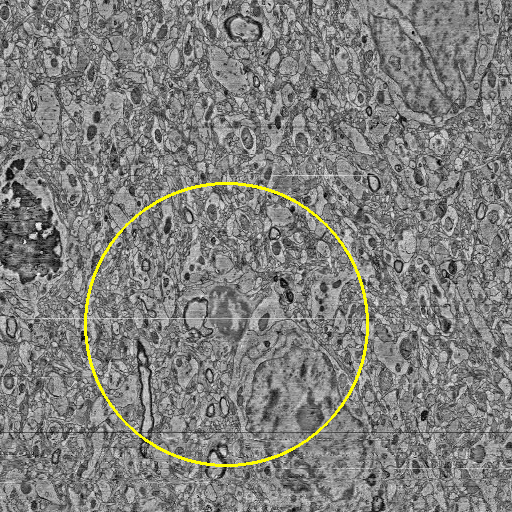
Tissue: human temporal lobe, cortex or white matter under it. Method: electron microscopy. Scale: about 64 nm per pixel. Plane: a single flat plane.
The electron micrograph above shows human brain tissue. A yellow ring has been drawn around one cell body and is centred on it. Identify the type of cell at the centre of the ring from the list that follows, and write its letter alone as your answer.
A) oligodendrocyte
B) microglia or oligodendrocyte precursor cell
A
